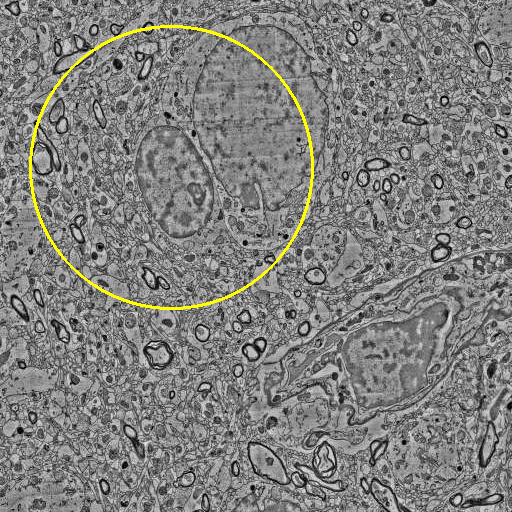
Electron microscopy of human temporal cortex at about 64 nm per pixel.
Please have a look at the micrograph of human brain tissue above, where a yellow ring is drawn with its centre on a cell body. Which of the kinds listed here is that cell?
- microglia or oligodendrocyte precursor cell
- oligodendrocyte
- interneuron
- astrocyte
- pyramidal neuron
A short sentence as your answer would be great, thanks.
At the centre of the ring sits an oligodendrocyte.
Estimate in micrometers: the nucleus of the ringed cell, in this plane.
About 7 by 5 micrometres in this plane; clearly longer than it is wide.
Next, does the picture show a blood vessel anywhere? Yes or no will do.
Yes, one shows.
